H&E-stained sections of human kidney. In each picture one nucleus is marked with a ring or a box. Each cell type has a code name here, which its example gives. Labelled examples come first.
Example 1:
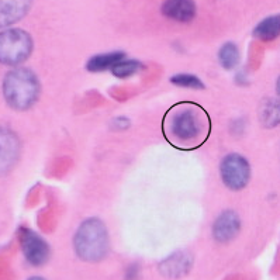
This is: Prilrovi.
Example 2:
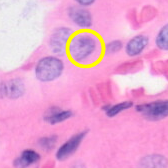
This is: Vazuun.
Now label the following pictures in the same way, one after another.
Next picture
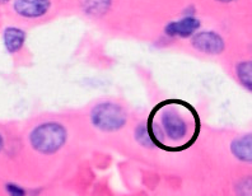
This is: Vazuun.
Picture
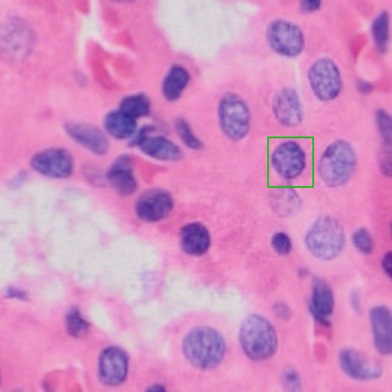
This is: Prilrovi.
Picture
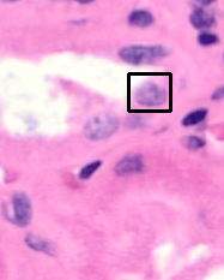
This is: Prilrovi.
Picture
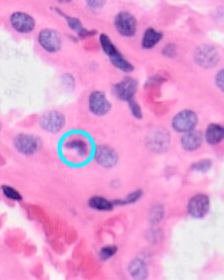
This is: Prilrovi.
